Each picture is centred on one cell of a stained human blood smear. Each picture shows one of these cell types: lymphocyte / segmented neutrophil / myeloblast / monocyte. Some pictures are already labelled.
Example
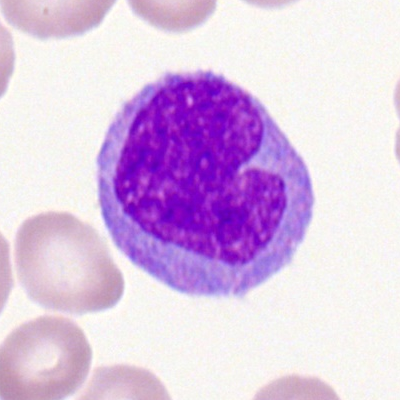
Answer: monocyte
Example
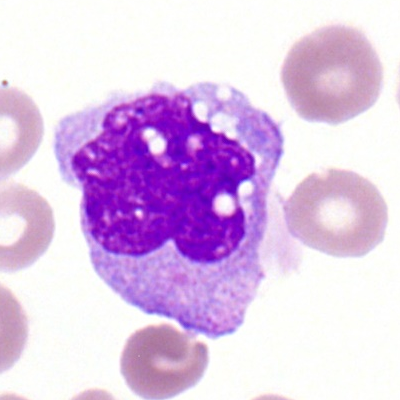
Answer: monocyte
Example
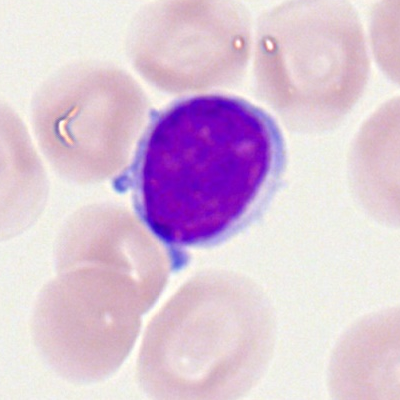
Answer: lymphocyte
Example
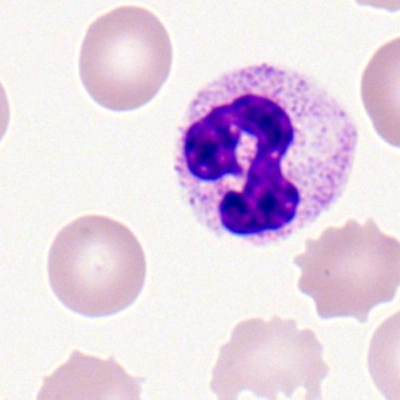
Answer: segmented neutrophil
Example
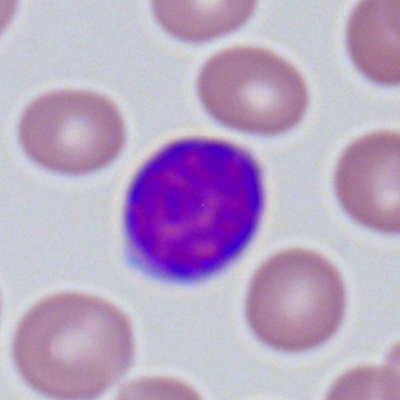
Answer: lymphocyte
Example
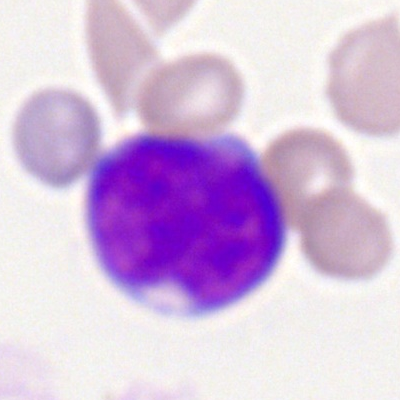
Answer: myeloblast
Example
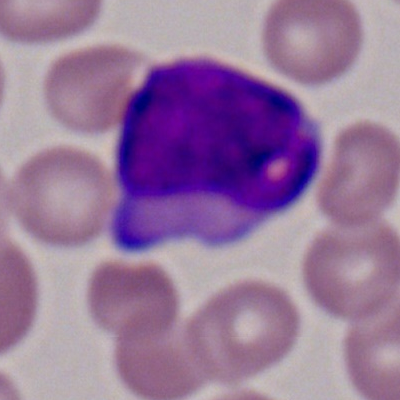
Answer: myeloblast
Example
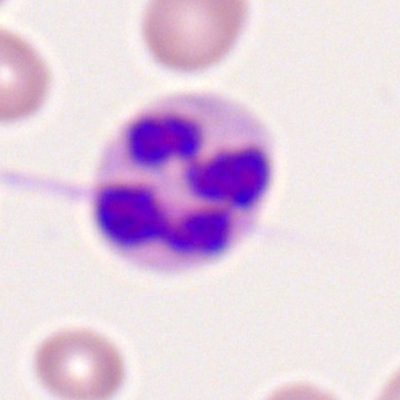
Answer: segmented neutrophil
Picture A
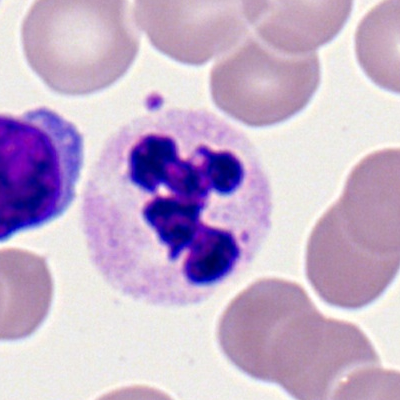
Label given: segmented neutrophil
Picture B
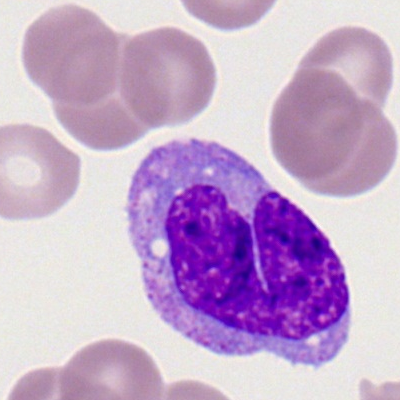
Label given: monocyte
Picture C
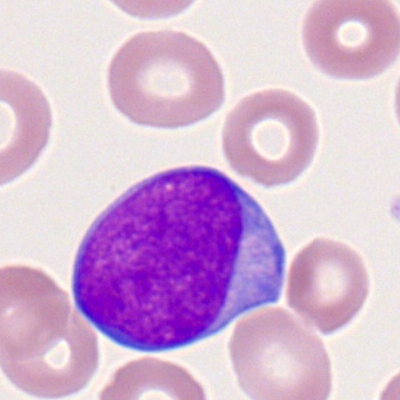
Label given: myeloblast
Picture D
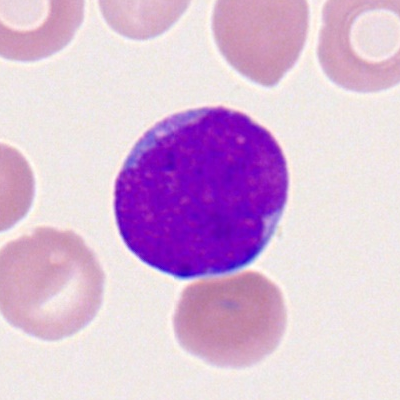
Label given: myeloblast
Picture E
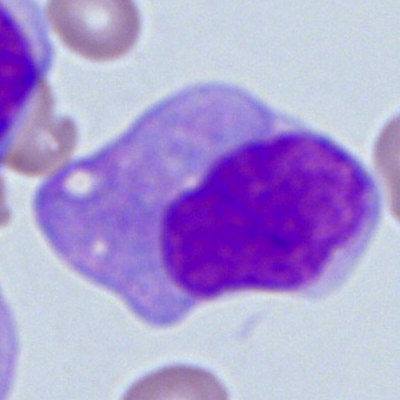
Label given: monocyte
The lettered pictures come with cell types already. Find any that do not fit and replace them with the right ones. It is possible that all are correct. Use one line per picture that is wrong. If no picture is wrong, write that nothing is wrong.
No label is wrong.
